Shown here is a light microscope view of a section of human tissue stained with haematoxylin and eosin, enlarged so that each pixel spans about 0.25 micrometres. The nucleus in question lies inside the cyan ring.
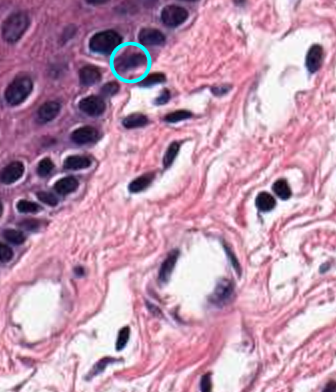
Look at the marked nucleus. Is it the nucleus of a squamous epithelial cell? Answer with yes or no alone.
yes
